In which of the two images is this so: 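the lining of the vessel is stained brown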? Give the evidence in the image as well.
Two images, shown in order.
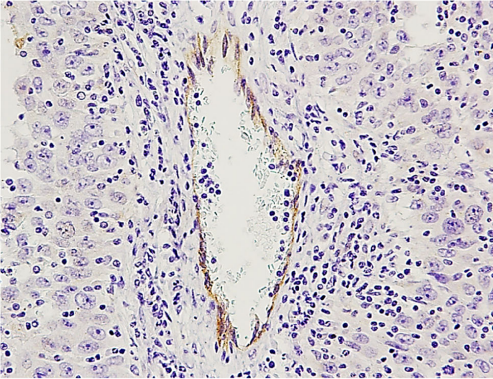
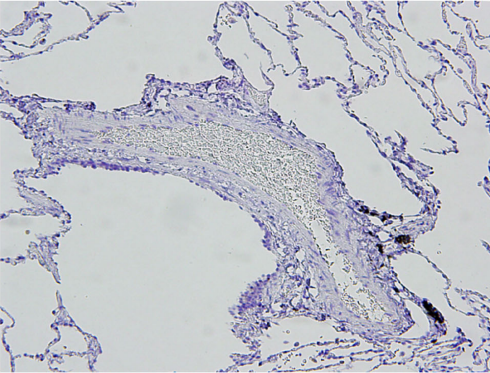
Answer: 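The first image. Second image: the vessel wall is blue only, with no brown line along its lumen. First image: a brown line follows the inner edge of the vessel lumen.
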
